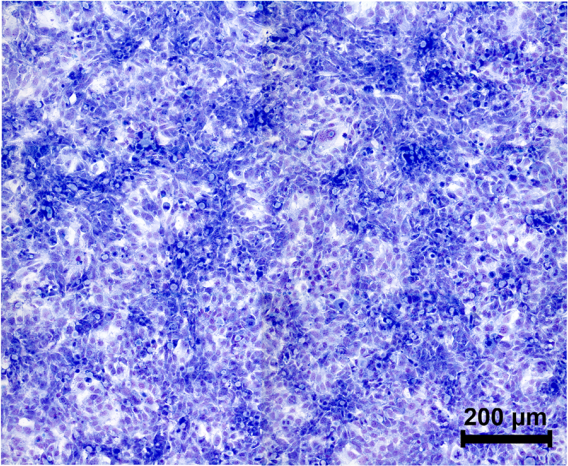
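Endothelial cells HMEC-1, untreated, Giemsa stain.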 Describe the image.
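A dense blue-stained sheet of cells covers the whole field, with individual cell borders harder to make out than in a loose culture. Darker blue patches where cells are crowded alternate with paler areas, giving the sheet a mottled look.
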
